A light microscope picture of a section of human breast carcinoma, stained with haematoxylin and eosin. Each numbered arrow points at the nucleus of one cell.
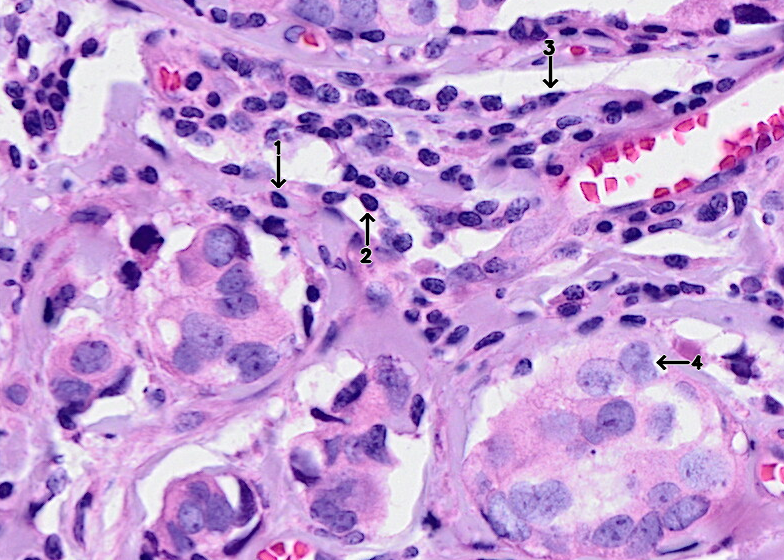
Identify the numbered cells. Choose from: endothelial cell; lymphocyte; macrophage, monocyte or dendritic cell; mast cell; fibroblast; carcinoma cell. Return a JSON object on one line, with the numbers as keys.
{"1": "lymphocyte", "2": "lymphocyte", "3": "lymphocyte", "4": "carcinoma cell"}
